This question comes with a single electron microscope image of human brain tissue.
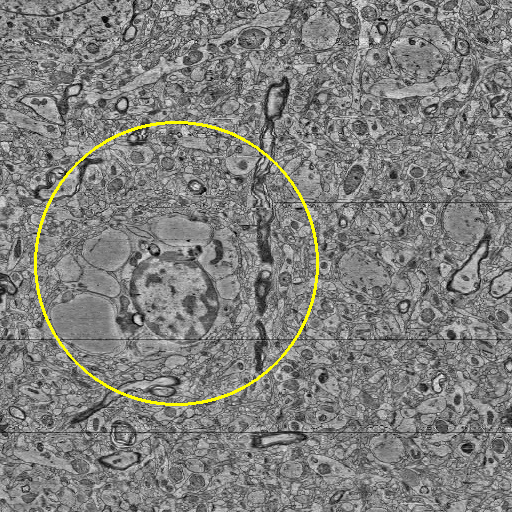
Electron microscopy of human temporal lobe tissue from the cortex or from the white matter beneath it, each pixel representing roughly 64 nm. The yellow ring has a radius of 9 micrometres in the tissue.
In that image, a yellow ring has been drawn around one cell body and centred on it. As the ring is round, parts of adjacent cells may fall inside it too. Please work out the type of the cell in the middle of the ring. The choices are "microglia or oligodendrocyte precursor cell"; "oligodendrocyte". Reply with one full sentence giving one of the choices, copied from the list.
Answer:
Of the choices, a microglial cell or oligodendrocyte precursor cell is the cell sitting in the middle of the ring.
